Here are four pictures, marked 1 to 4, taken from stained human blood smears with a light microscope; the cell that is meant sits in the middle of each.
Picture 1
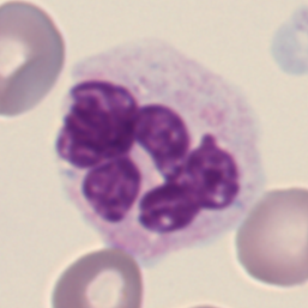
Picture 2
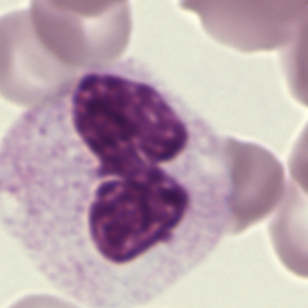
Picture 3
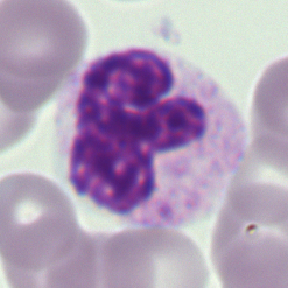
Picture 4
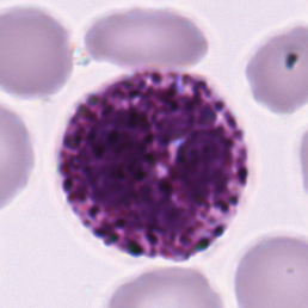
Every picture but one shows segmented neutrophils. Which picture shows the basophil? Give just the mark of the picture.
4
